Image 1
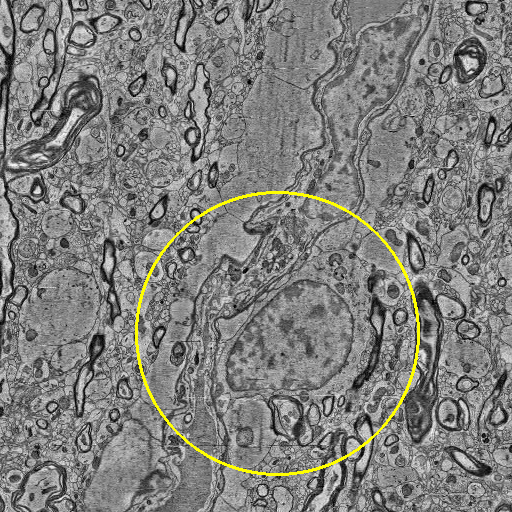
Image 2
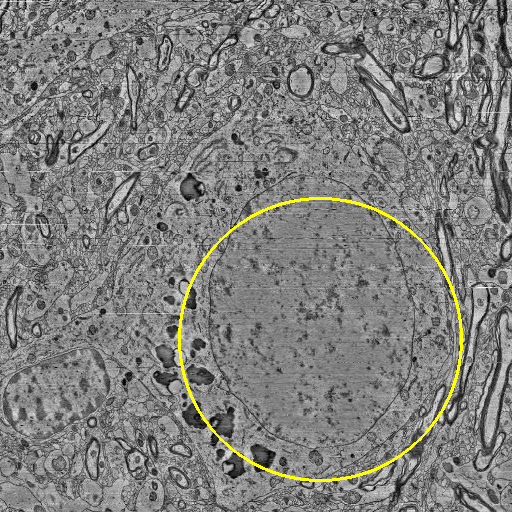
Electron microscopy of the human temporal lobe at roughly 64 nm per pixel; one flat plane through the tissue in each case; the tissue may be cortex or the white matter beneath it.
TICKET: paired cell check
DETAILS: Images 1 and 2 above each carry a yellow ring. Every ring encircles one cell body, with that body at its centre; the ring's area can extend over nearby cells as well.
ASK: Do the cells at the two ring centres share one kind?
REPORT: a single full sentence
No, the ring-centre cells of Images 1 and 2 belong to two kinds.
